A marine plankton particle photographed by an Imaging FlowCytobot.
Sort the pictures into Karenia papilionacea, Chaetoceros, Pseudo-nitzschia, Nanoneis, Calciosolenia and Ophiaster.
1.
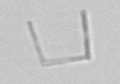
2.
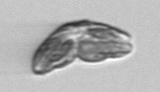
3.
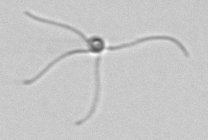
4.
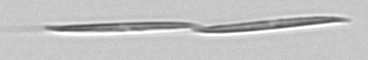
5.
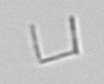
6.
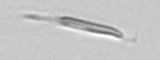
Nanoneis: 1, 5
Karenia papilionacea: 2
Ophiaster: 3
Pseudo-nitzschia: 4
Calciosolenia: 6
